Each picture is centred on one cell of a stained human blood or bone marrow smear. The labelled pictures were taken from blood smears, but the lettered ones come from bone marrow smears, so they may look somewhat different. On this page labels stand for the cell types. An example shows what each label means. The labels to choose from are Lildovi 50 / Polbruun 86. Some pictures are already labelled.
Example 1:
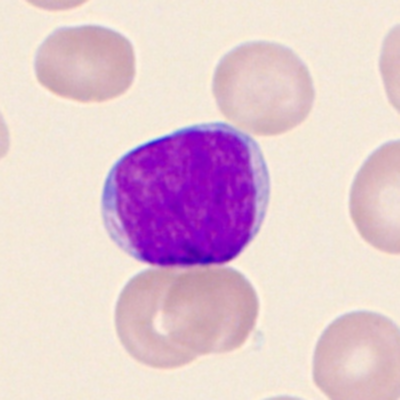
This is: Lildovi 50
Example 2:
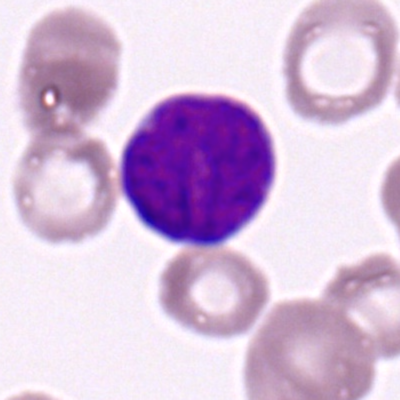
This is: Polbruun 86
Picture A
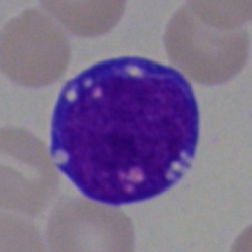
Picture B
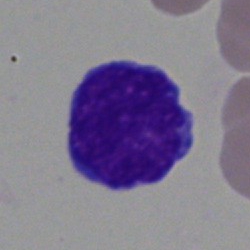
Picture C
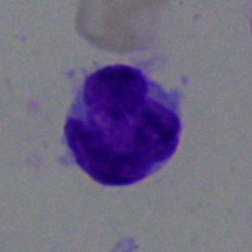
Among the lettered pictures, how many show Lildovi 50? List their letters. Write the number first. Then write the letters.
1, namely C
